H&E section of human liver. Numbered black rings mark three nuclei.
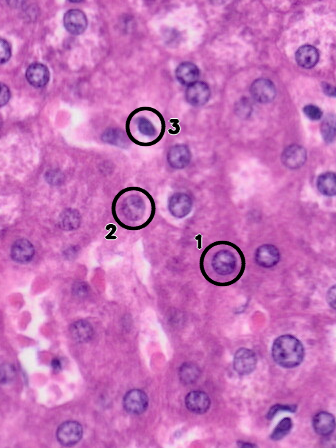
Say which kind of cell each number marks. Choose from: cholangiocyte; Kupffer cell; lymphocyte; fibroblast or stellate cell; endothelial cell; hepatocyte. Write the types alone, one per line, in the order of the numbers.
hepatocyte
hepatocyte
lymphocyte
